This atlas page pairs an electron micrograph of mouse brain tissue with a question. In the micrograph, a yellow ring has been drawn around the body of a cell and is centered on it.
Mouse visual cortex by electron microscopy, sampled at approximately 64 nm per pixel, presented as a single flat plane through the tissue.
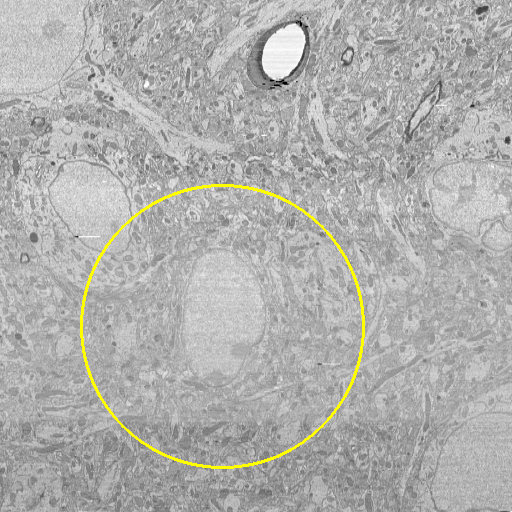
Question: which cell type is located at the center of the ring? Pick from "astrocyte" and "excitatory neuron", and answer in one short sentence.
Located at the center of the ring is an astrocyte.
